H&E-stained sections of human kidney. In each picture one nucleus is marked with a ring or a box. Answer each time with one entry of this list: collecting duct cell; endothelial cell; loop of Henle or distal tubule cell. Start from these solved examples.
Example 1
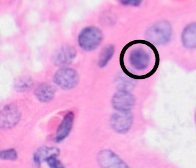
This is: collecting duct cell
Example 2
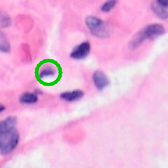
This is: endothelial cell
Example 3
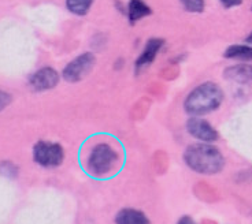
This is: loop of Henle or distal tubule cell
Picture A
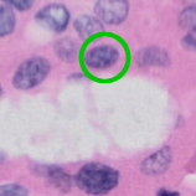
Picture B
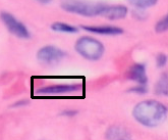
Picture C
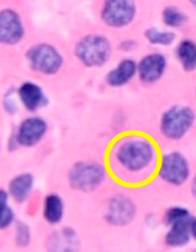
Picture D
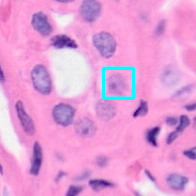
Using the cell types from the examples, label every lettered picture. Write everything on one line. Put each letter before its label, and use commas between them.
A loop of Henle or distal tubule cell, B endothelial cell, C loop of Henle or distal tubule cell, D loop of Henle or distal tubule cell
